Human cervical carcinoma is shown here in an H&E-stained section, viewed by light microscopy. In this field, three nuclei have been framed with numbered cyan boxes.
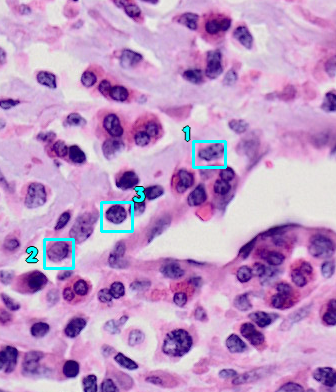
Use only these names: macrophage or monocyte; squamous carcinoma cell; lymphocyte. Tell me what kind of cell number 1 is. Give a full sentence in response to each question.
The cell marked with the number 1 is a lymphocyte.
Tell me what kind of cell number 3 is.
As for number 3, that cell is a lymphocyte.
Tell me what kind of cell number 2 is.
Looking at the numbered marks, cell 2 is a macrophage or monocyte.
